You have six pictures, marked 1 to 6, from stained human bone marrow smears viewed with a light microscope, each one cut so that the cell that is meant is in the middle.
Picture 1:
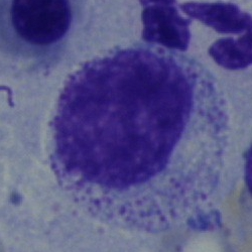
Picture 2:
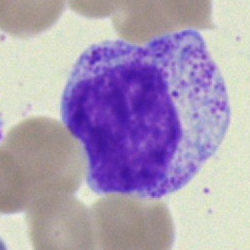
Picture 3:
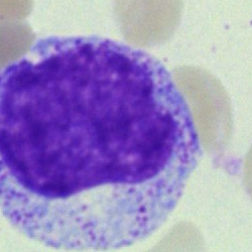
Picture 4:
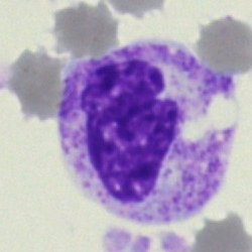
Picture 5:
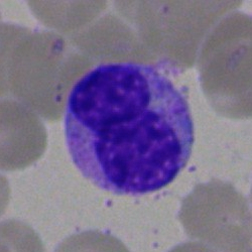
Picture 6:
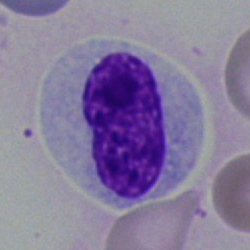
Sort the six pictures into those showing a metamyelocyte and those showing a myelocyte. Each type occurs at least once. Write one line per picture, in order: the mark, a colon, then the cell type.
1: myelocyte
2: myelocyte
3: myelocyte
4: metamyelocyte
5: metamyelocyte
6: metamyelocyte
